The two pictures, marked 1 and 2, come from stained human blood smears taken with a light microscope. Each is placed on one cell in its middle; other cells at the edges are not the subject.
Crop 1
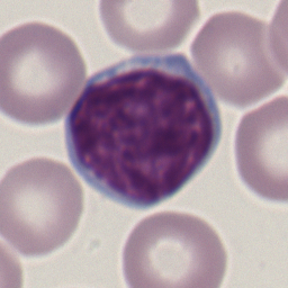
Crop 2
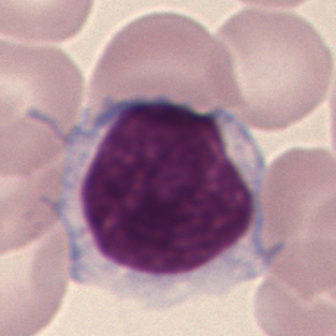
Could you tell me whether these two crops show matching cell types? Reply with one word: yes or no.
yes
